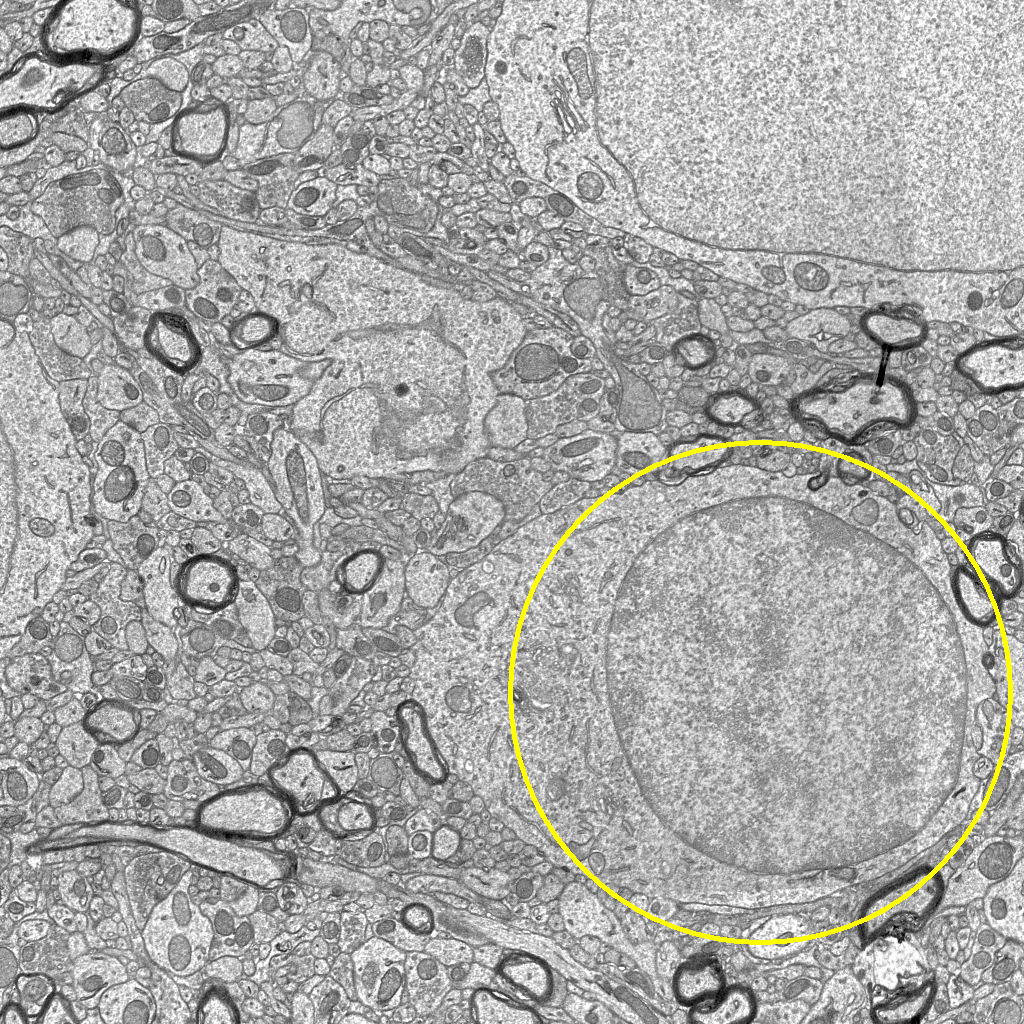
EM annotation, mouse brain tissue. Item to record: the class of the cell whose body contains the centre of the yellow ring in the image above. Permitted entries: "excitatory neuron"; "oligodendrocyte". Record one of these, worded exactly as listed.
oligodendrocyte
